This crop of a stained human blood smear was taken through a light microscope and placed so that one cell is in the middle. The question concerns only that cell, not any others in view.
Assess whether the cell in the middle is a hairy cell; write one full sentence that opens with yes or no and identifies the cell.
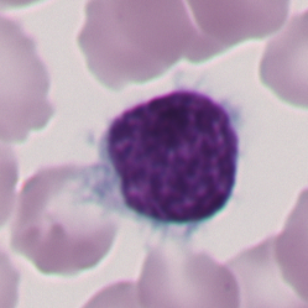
Yes, the cell of interest in the centre is a hairy cell.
